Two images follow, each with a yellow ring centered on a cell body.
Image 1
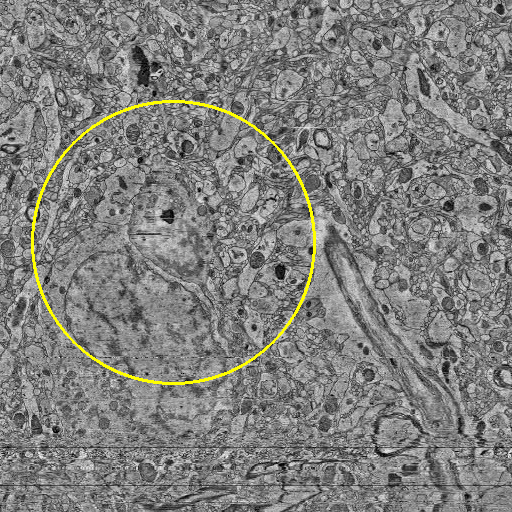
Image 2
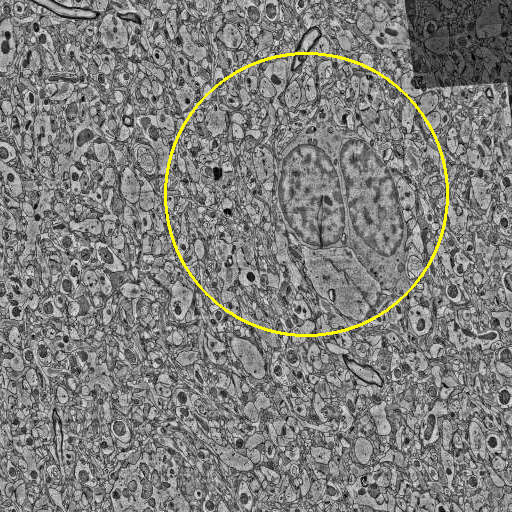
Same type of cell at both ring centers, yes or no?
yes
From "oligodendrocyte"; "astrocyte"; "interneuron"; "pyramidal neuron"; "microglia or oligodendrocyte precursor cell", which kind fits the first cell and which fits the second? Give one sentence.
The cell in the first picture is an oligodendrocyte, and so is the one in the second.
